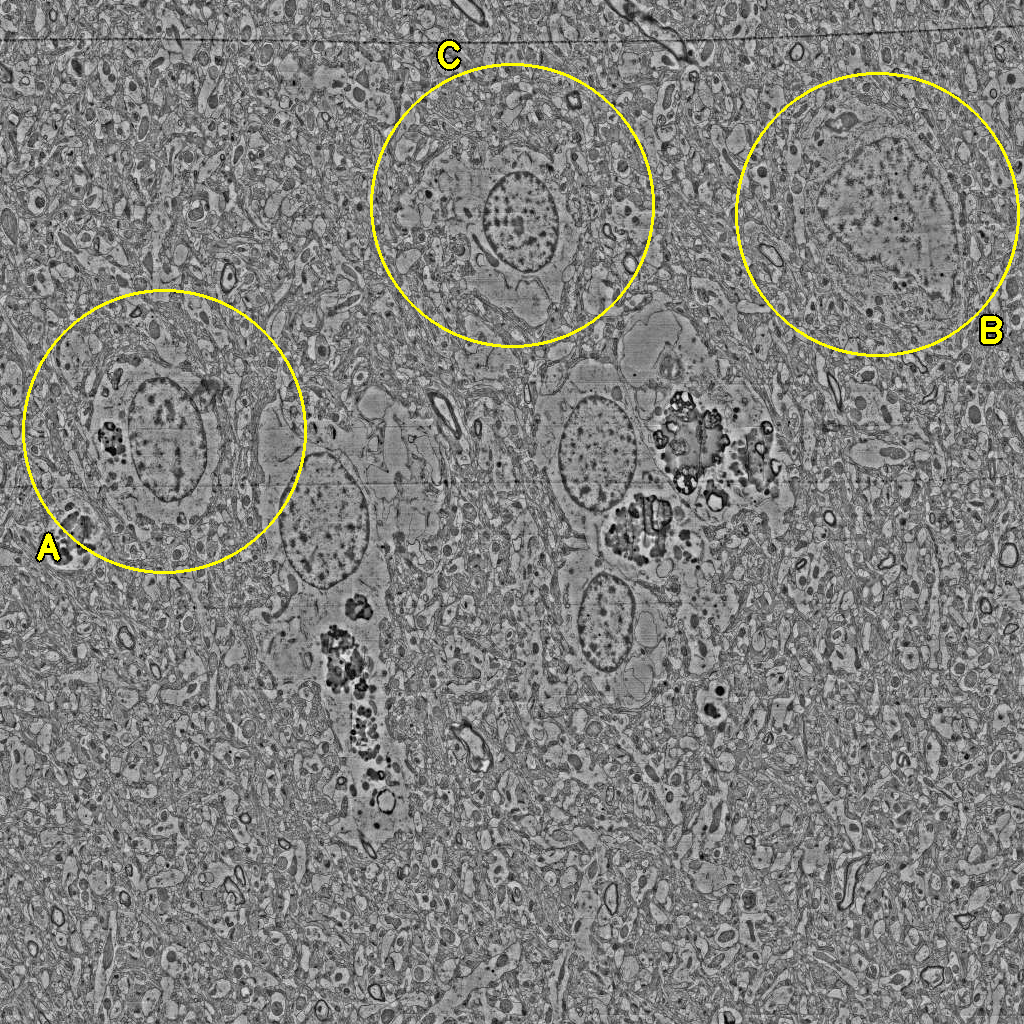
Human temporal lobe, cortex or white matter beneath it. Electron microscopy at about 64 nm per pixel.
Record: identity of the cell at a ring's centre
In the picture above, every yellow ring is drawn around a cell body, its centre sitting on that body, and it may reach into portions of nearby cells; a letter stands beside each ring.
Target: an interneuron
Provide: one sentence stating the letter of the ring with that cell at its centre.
The letter of the ring centred on a cell of that kind is B.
